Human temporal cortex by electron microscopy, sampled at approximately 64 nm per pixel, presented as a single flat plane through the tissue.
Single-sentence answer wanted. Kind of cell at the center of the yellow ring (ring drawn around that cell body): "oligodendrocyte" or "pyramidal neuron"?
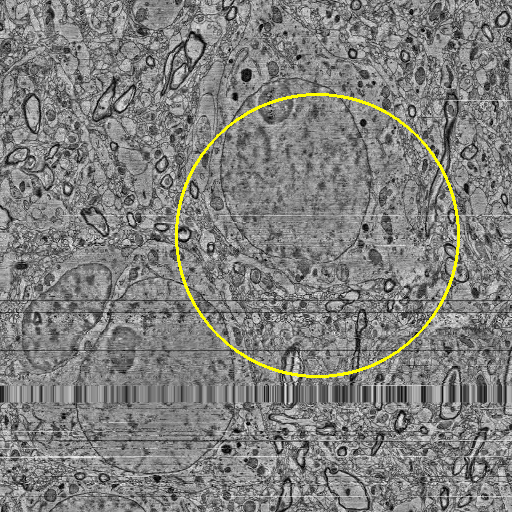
The cell centered in the ring is a pyramidal neuron.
